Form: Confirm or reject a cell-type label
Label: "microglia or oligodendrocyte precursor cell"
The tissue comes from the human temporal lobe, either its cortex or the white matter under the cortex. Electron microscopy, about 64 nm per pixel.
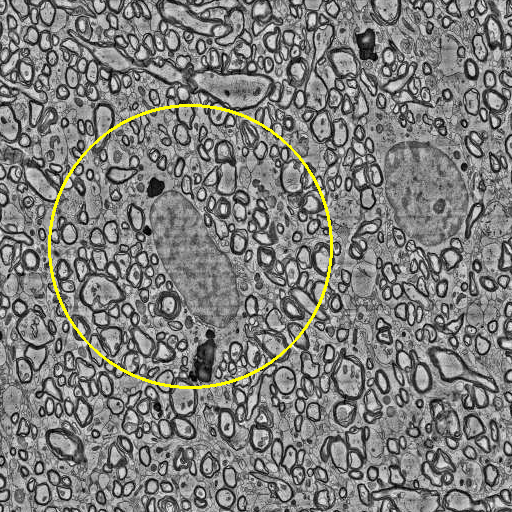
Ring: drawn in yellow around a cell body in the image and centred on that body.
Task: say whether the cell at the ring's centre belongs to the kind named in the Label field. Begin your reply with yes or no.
No, it belongs to another kind.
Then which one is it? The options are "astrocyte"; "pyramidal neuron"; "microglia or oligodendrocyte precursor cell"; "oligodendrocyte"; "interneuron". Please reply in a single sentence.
The cell marked by the ring is an oligodendrocyte.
